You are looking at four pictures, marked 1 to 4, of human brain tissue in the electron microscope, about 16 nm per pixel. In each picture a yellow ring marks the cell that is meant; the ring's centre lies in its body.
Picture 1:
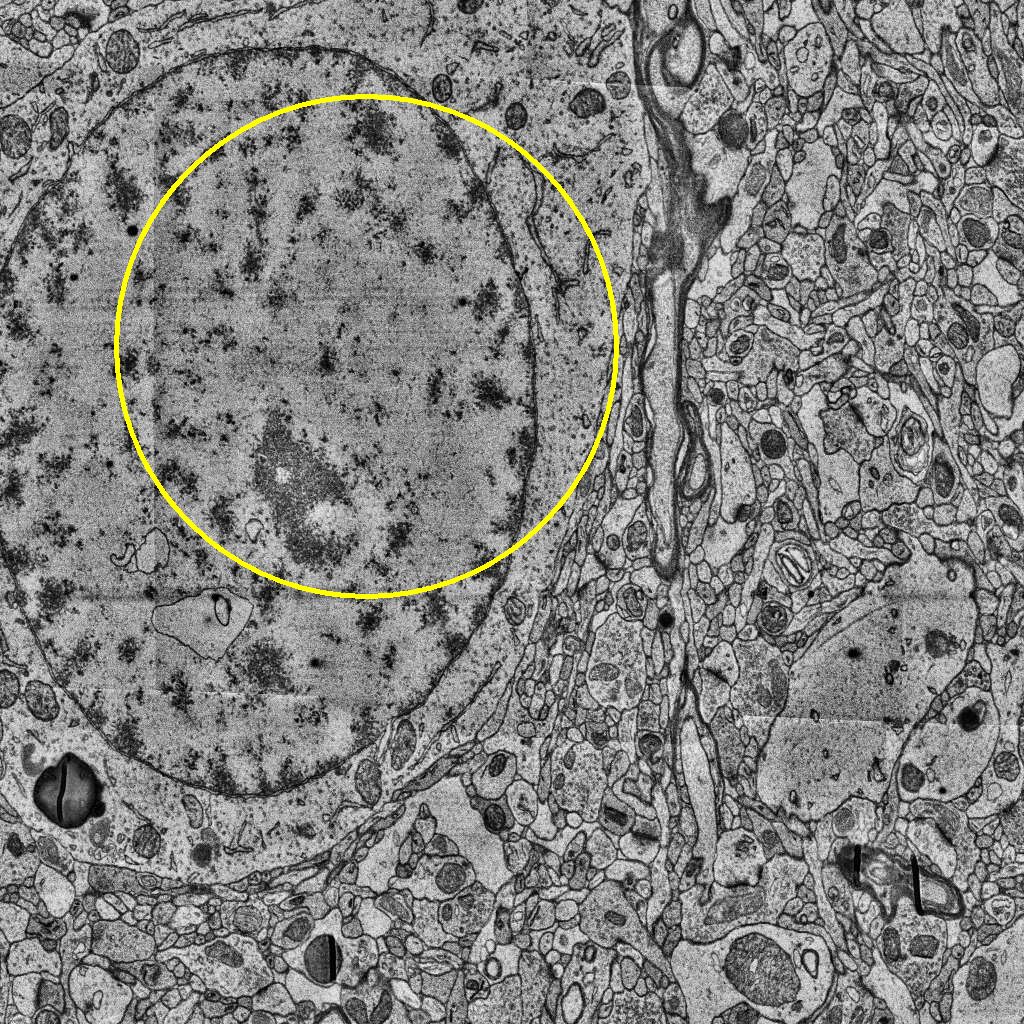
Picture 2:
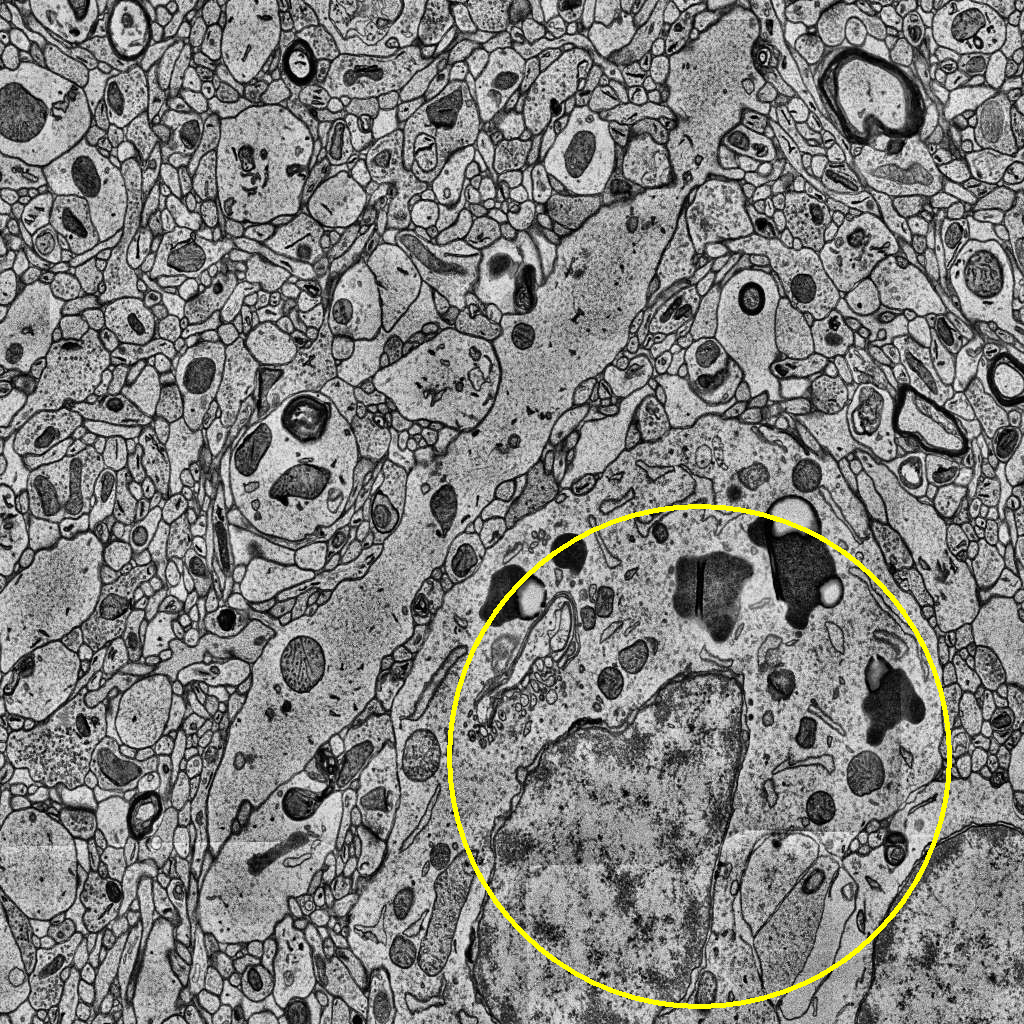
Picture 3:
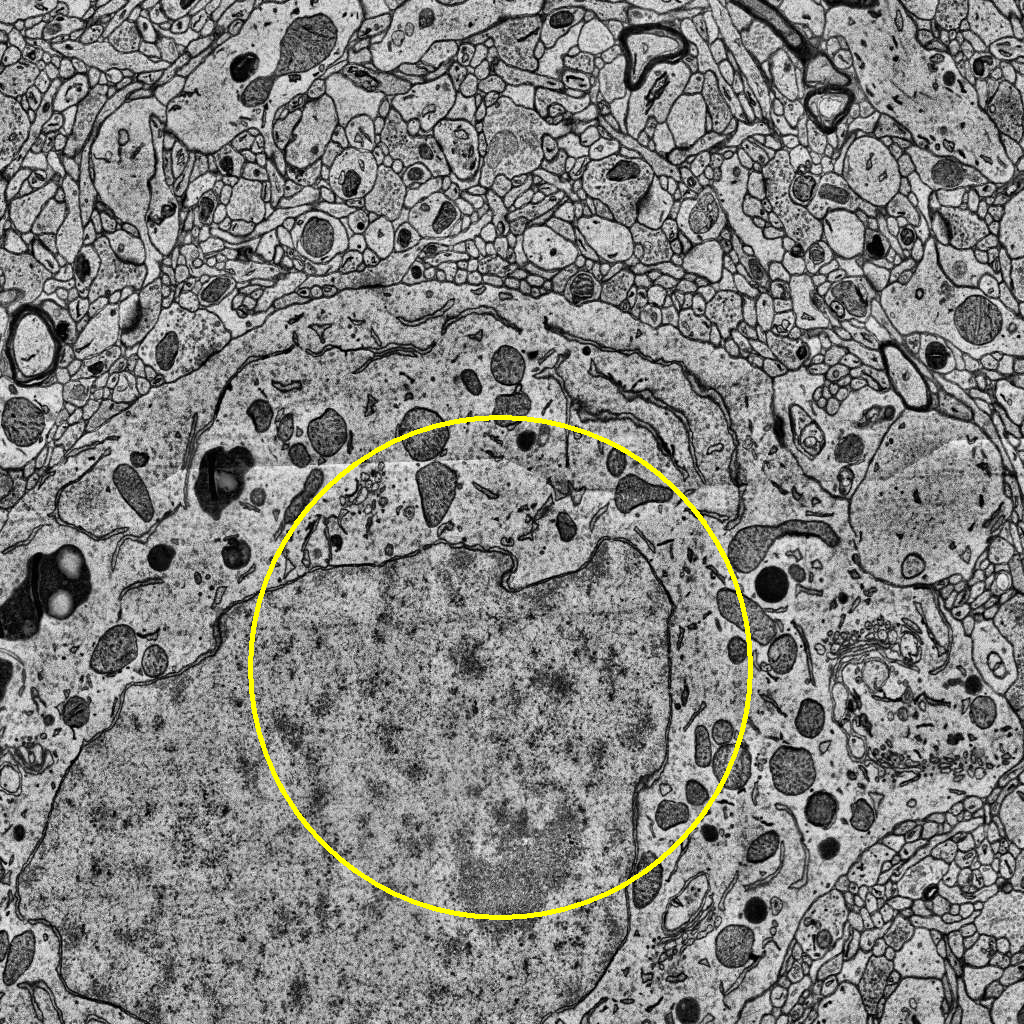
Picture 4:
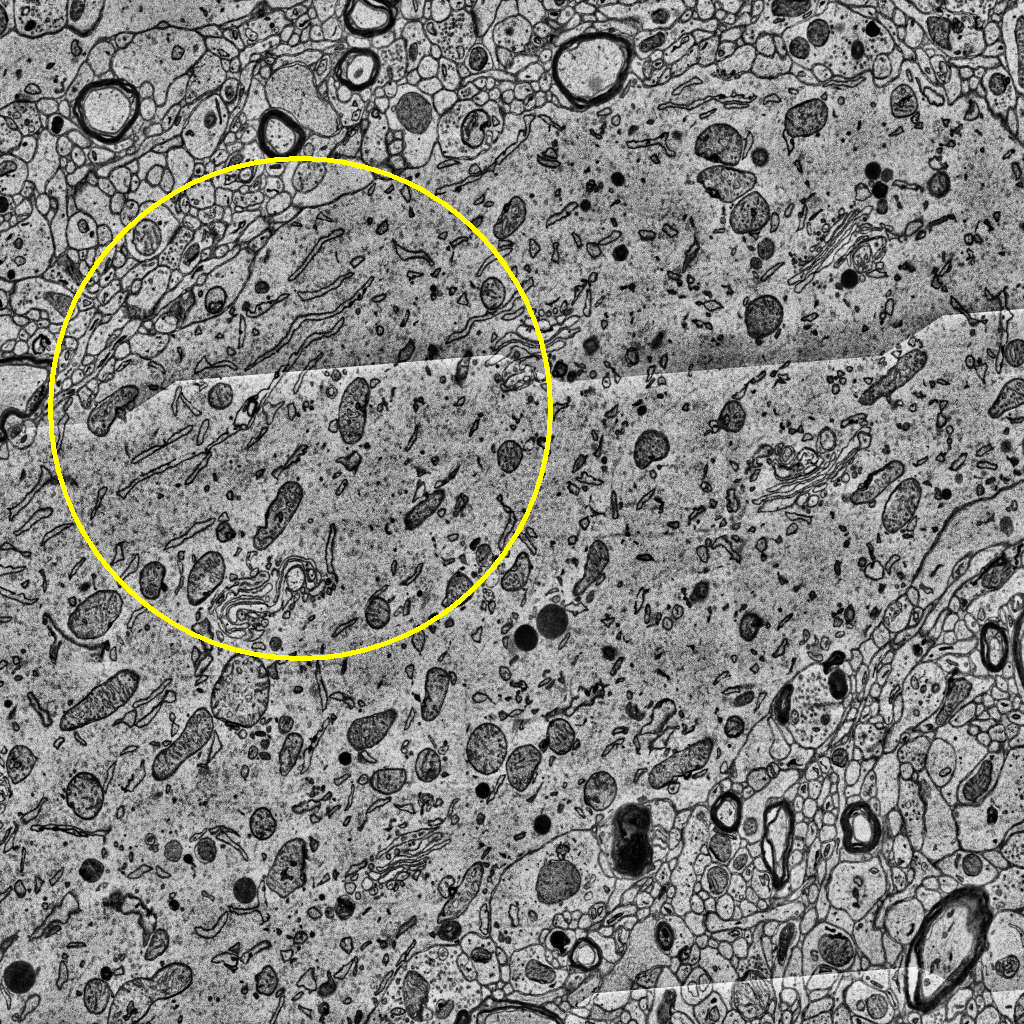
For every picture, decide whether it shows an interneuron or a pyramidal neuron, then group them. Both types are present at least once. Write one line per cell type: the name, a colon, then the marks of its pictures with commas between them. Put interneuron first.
interneuron: 2, 3
pyramidal neuron: 1, 4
